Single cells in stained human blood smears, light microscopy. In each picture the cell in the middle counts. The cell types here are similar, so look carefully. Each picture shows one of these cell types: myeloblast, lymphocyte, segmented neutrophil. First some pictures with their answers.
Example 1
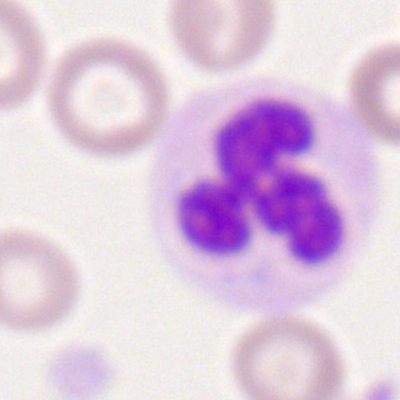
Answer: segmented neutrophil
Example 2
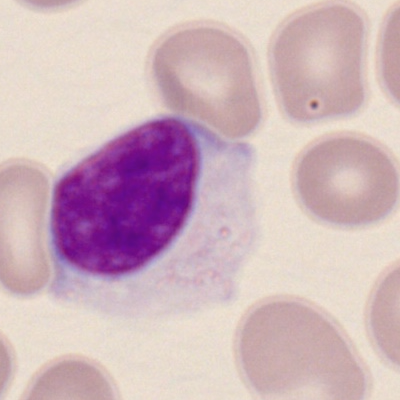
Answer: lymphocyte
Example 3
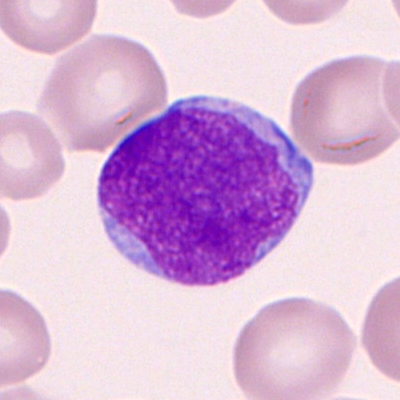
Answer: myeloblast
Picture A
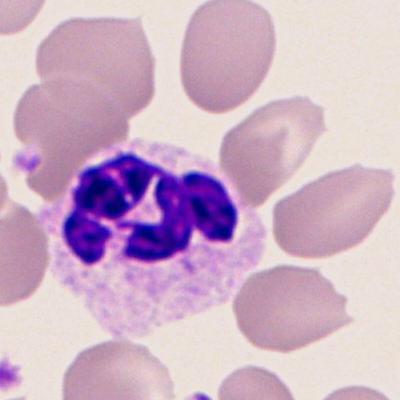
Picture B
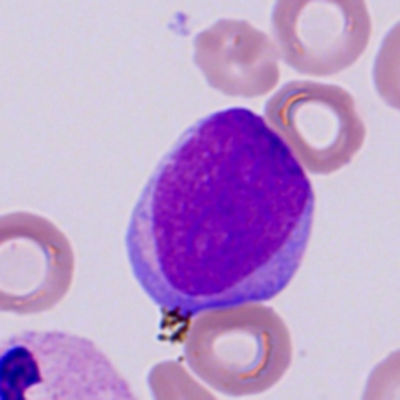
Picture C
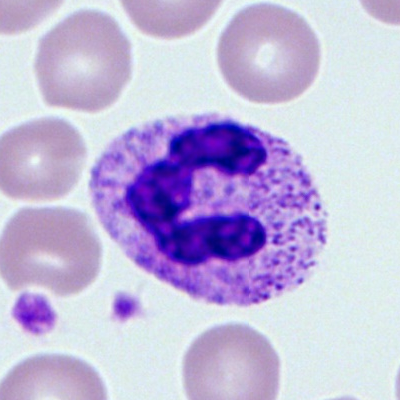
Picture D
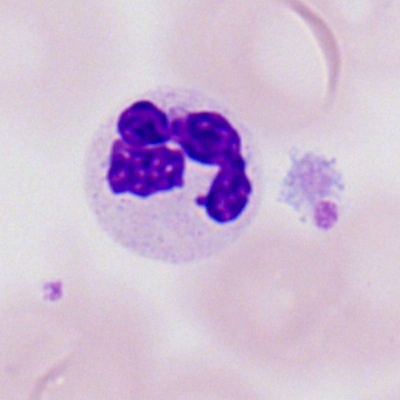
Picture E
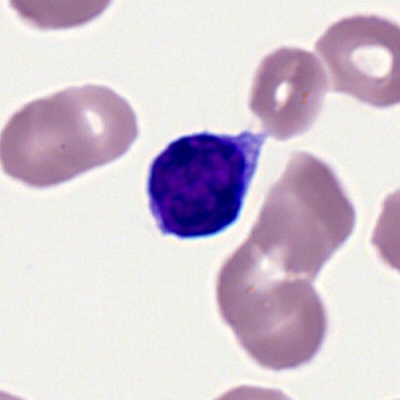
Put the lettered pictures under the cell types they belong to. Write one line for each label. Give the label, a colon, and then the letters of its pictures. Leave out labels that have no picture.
myeloblast: B
lymphocyte: E
segmented neutrophil: A, C, D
